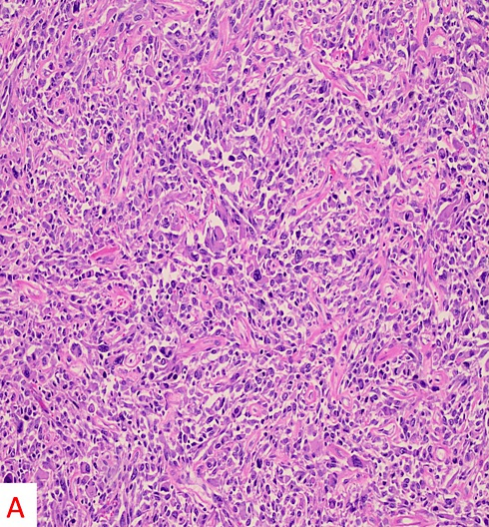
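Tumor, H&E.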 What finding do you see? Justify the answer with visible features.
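Hyperchromatic and pleomorphic cells. Densely packed cells with dark-staining nuclei. Nuclei vary widely in size and shape. Sheets of cells with scattered pink collagen strands.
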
